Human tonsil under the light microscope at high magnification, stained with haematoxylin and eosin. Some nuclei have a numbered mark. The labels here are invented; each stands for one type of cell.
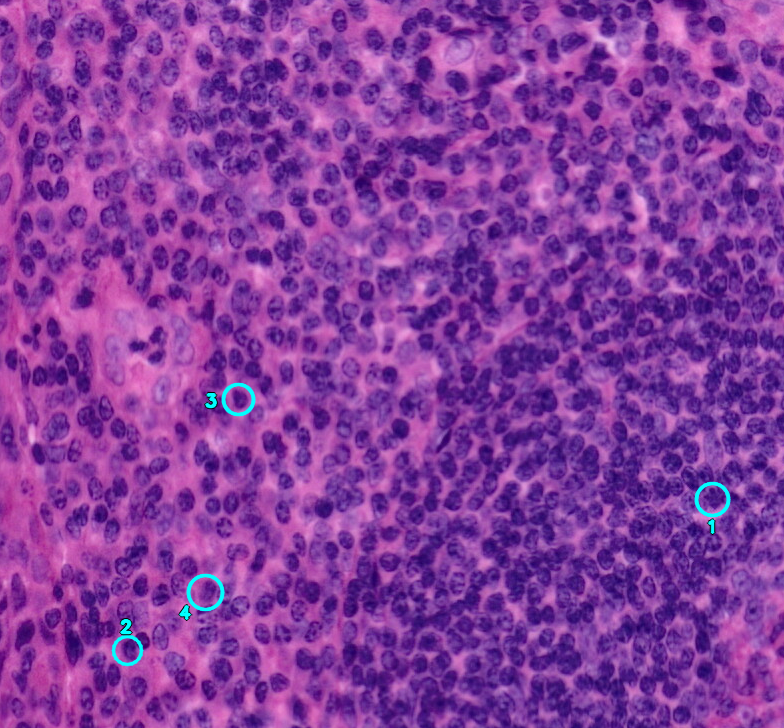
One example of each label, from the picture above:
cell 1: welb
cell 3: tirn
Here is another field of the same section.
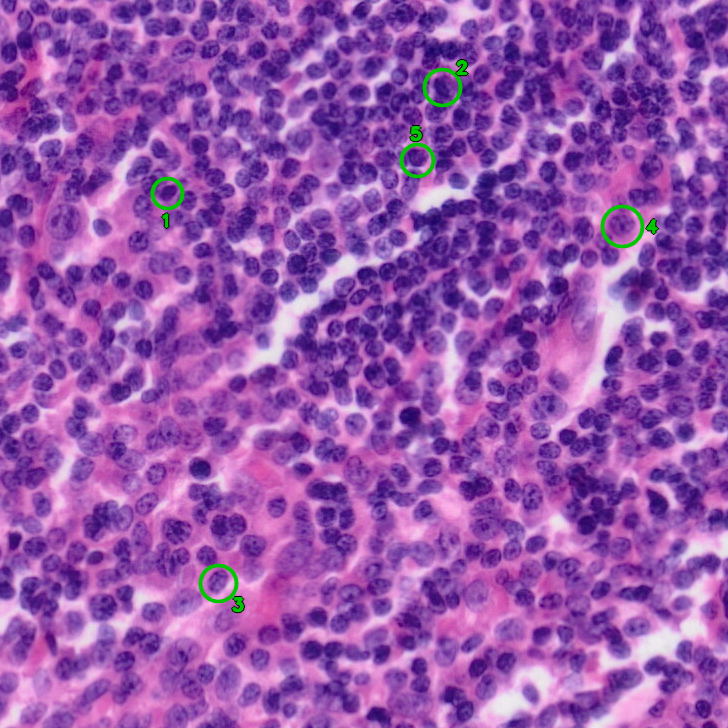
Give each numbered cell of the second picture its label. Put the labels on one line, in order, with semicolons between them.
welb; welb; tirn; tirn; welb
